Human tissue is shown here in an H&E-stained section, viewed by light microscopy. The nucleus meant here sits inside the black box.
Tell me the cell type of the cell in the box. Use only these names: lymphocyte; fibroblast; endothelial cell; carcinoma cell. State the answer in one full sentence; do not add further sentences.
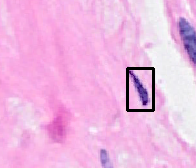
In short, the cell in the box on this section is a fibroblast.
